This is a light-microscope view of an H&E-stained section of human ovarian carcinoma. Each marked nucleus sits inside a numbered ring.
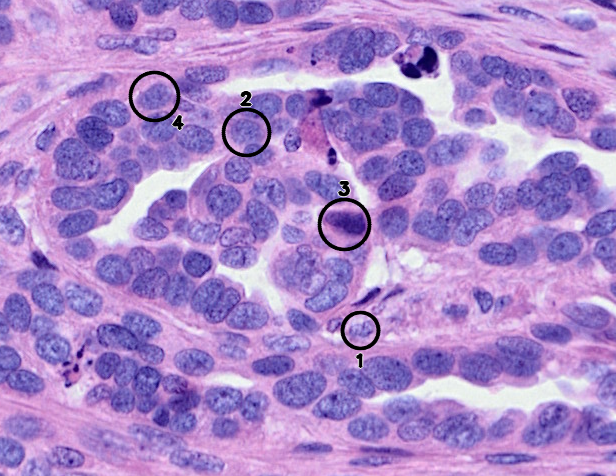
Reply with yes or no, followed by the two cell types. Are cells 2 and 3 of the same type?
Yes, going by number, cells 2 and 3 are both carcinoma cells.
